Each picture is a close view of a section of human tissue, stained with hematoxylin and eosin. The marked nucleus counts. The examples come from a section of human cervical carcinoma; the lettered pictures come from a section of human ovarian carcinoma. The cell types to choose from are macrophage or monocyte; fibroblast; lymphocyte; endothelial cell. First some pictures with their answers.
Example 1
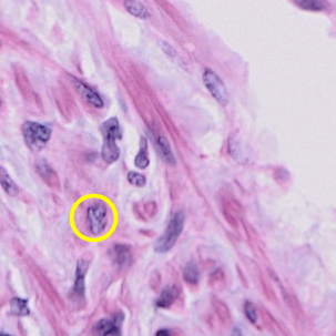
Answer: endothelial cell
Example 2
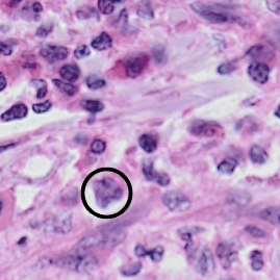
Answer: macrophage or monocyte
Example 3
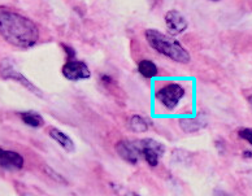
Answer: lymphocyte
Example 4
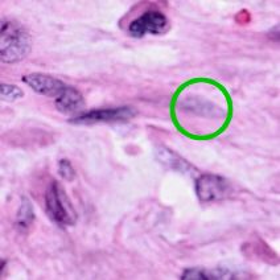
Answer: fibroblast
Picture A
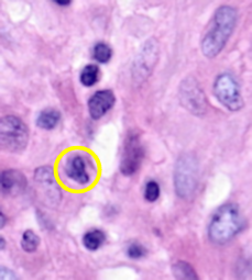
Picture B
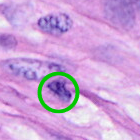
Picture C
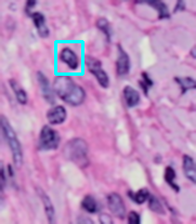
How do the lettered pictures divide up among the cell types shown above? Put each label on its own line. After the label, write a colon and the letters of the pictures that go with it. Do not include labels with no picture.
macrophage or monocyte: B
lymphocyte: A, C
